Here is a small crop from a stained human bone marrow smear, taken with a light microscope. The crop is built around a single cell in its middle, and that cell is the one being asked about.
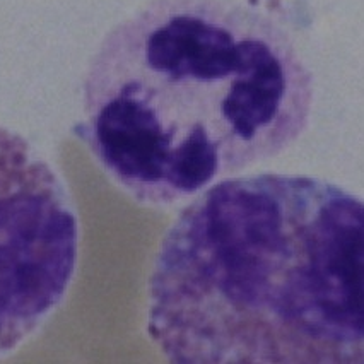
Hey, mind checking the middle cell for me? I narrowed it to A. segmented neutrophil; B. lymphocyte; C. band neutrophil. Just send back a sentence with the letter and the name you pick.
Located in the middle of the crop is a segmented neutrophil, and option A is therefore correct.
